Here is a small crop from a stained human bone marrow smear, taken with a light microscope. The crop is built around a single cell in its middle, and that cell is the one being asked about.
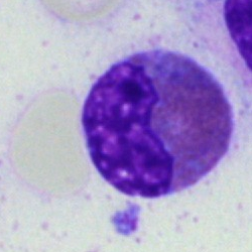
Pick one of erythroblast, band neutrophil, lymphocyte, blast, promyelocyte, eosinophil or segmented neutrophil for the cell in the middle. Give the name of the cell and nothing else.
eosinophil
